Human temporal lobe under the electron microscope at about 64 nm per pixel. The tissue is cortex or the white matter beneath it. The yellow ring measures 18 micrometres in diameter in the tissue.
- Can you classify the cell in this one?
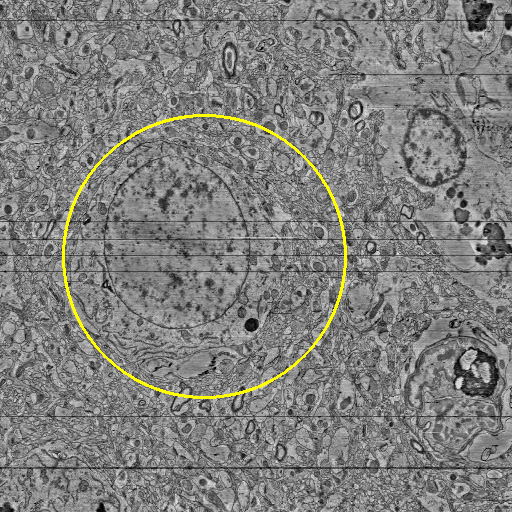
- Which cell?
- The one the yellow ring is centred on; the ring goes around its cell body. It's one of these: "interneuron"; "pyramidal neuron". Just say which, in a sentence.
The cell body in the ring belongs to a pyramidal neuron.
